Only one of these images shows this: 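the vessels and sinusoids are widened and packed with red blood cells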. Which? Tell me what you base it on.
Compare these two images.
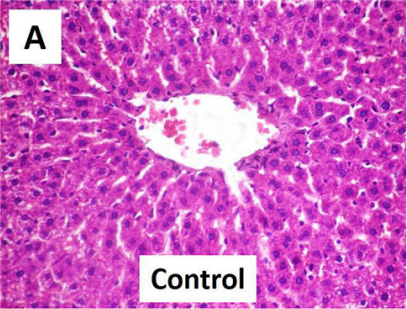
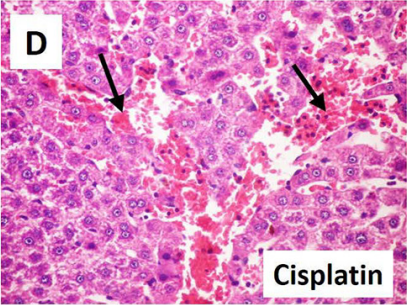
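First image: the central vein holds only a few red cells and sinusoids are narrow. Second image: broad vascular channels are filled with masses of red blood cells.
Conclusion: the second image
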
